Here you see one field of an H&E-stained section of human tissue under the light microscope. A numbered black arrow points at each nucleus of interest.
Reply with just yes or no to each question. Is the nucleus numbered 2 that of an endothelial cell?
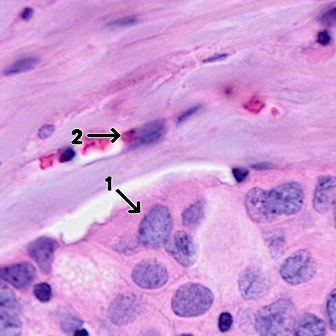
yes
